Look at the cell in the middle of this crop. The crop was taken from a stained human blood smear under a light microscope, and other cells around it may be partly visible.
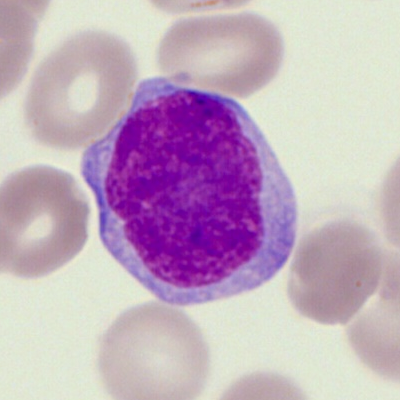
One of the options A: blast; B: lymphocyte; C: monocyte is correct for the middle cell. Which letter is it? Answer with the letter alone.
A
